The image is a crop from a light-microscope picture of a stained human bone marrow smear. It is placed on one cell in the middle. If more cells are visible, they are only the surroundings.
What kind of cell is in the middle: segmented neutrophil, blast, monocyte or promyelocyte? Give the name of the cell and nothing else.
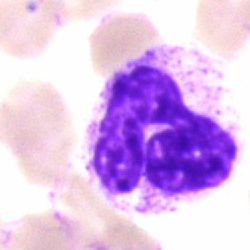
segmented neutrophil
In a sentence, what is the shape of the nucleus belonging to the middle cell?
If you check the nucleus, you will find it split into two or more lobes.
